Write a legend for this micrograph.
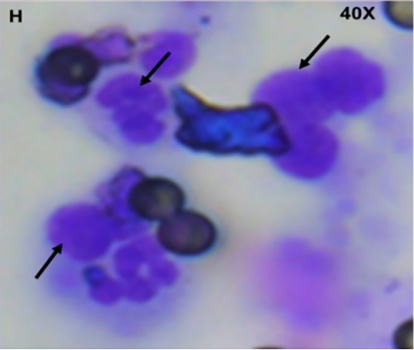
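Here inflammatory cells lie on the filter, seen slightly out of focus in another plane. Each has a purple nucleus broken into several rounded lobes, with little visible cytoplasm around it, the segmented look typical of white blood cells. They are grouped loosely in three places. Round dark filter pores sit beside and over them, appearing sharper than the cells themselves. A dark blue irregular fragment of debris lies in the middle of the field between the cells.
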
